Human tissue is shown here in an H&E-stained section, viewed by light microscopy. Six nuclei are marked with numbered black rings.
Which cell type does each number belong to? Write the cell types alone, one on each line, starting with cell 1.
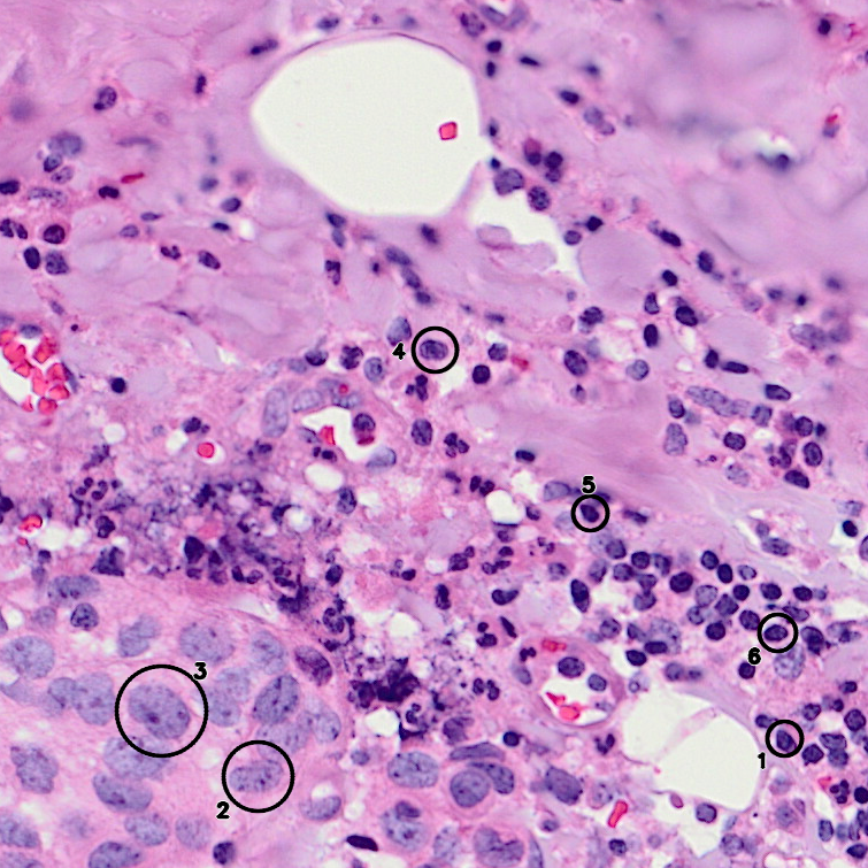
lymphocyte
carcinoma cell
carcinoma cell
lymphocyte
lymphocyte
lymphocyte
